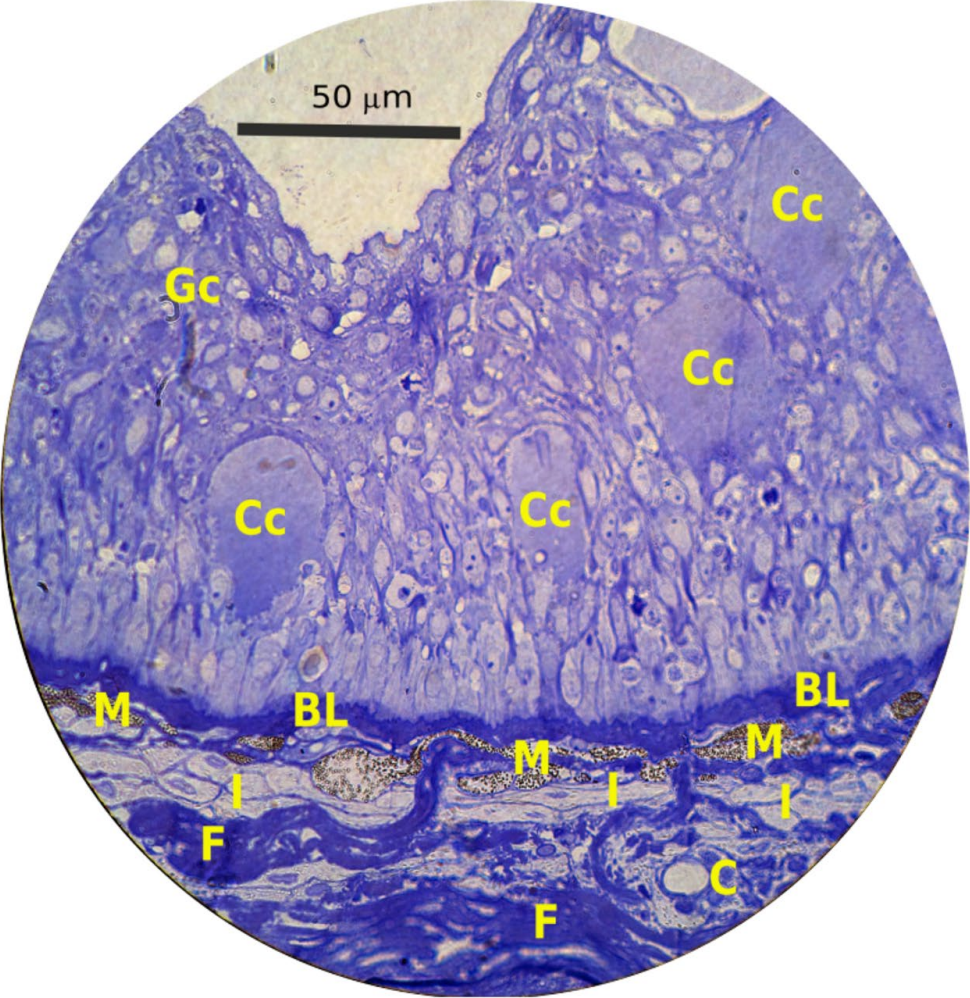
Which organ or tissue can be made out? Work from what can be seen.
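A thick, many-layered epithelium lines a free surface at the top. A dark basal band separates the epithelium from fibrous connective tissue below. Brown granular pigment cells lie in a band just beneath the epithelium.
Skin.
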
